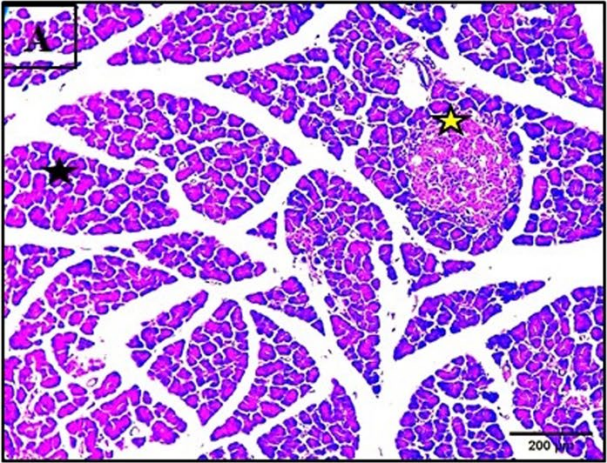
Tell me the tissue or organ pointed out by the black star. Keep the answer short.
Pancreatic parenchyma.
